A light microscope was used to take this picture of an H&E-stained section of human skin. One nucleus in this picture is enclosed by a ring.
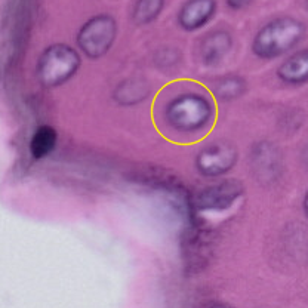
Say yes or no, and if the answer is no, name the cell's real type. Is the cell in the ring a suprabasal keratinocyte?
Yes.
